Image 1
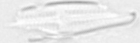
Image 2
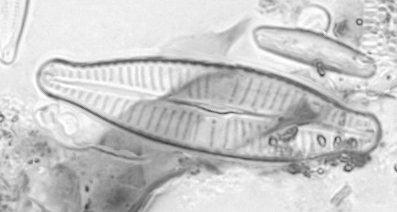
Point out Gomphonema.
That is picture 2.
